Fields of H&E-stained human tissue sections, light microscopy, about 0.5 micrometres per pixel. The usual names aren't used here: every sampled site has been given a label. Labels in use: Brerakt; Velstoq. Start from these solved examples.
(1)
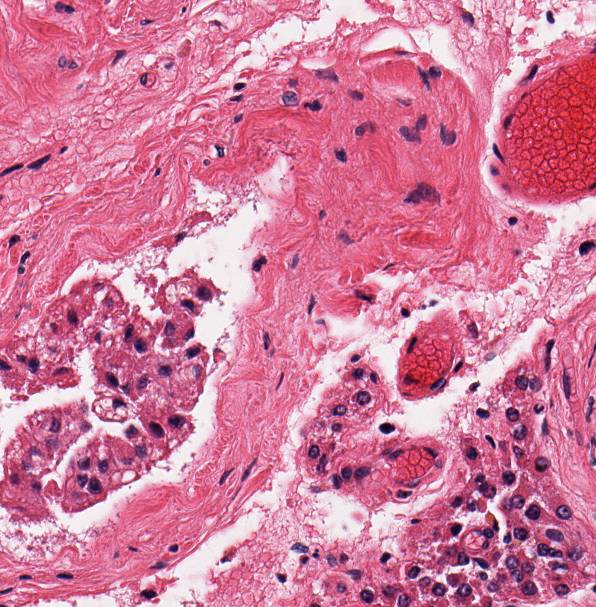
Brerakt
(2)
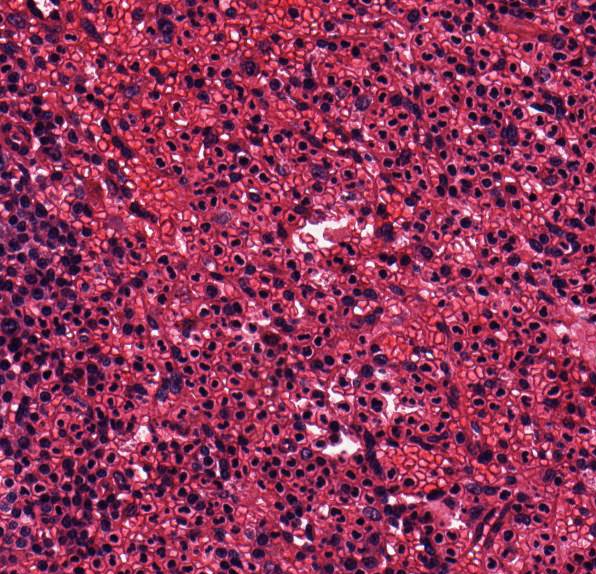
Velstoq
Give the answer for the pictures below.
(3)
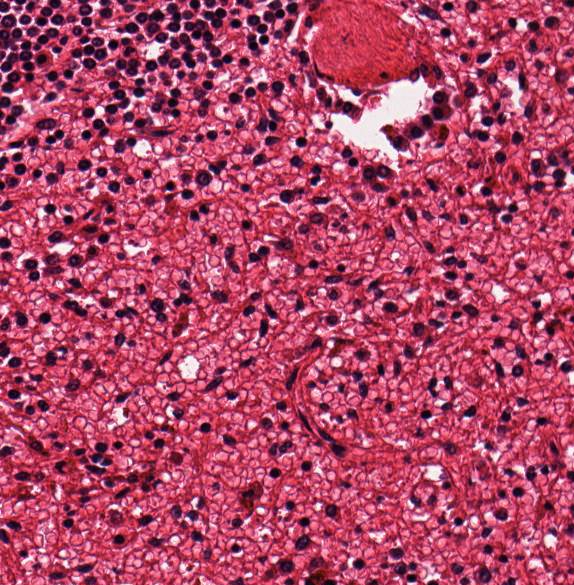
Velstoq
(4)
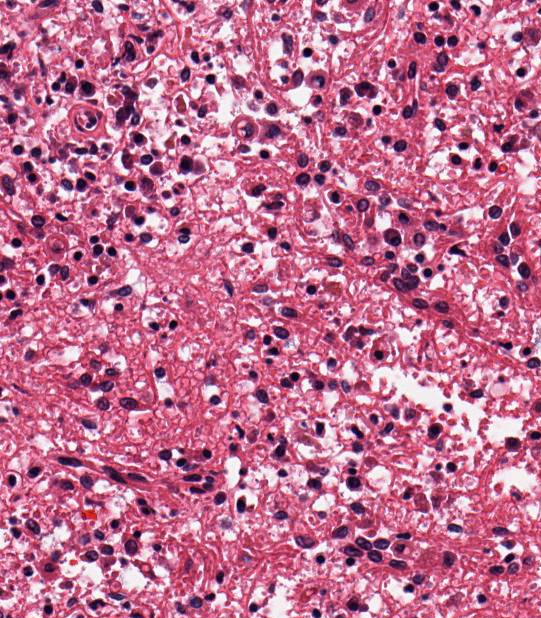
Velstoq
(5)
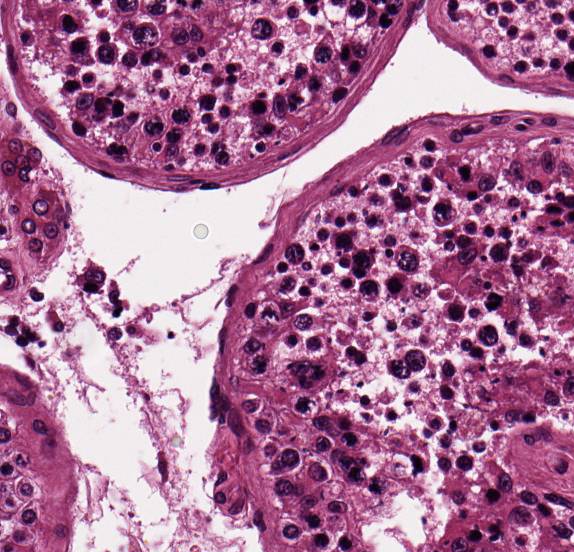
Brerakt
